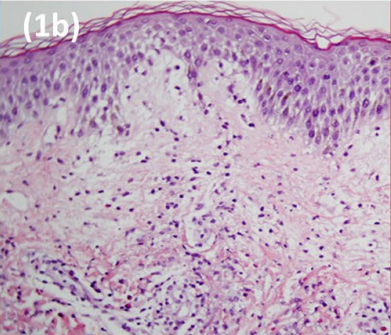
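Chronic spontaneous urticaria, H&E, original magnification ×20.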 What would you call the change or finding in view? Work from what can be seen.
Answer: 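Edema in papillary and upper reticular dermis. Beneath the epidermis the dermis is pale with loosely spaced, separated collagen fibres. Clear spaces lie between fibres in the upper dermis.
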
